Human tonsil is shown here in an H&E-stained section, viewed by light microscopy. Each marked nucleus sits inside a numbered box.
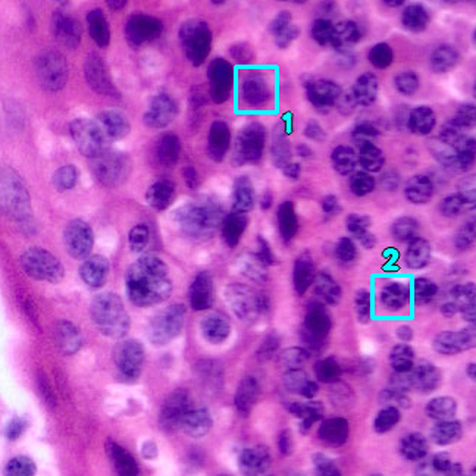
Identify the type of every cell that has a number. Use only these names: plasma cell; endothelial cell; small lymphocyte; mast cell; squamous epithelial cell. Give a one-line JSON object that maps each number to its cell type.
{"1": "squamous epithelial cell", "2": "plasma cell"}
